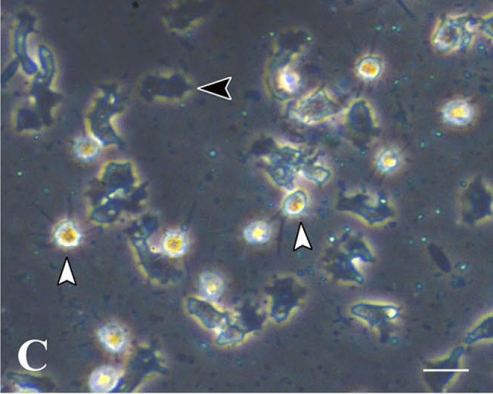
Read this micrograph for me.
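The brown cells are small, rounded and refractile, with a bright yellowish-brown centre, and from many of them fine, thin filopodia radiate outward like spikes. The dark amorphous cells are larger, flat and grey-dark, with irregular, ragged outlines and no bright rounded body; some appear spread and branched on the substrate. The two kinds lie intermingled and scattered over the dish, with clear background between them, and a few small elongated particles are also present.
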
